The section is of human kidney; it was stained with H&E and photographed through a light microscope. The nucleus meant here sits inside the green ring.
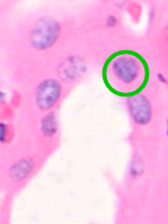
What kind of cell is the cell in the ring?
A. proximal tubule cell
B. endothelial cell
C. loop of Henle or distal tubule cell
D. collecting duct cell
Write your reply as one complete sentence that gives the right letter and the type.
Identified correctly by option C, the cell in the ring is a loop of Henle or distal tubule cell.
